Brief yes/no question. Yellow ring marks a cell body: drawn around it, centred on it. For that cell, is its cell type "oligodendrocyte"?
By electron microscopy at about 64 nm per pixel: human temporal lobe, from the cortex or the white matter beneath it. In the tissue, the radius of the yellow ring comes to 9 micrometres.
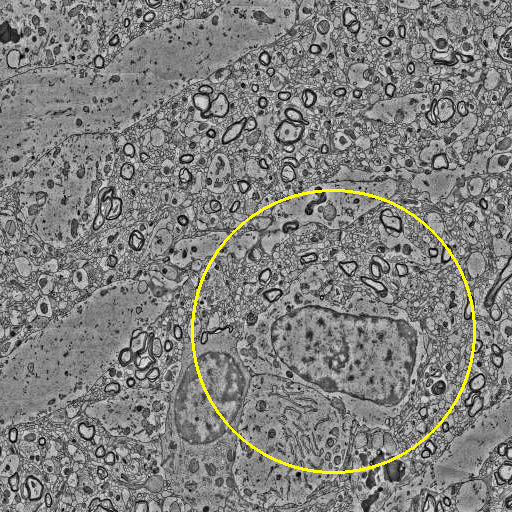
No, the cell type is another.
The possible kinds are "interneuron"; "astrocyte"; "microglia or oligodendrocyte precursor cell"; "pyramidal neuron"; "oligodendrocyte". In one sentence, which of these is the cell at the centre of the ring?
It is a microglial cell or oligodendrocyte precursor cell at the centre of the ring.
